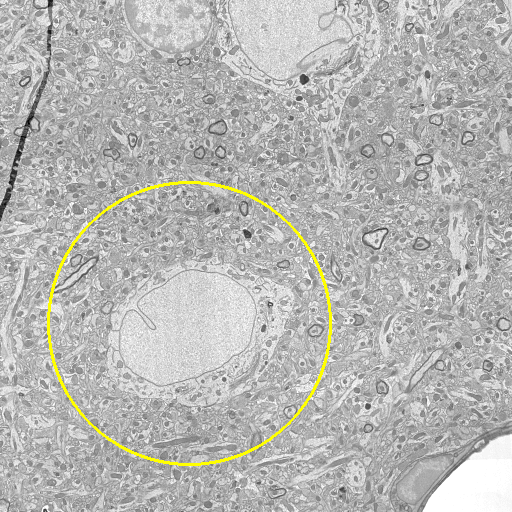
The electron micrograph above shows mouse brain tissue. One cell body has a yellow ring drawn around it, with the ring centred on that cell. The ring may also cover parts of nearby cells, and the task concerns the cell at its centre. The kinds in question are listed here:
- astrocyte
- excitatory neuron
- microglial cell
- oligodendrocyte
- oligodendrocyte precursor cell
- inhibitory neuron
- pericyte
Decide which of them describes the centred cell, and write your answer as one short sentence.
The centred cell is an excitatory neuron.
